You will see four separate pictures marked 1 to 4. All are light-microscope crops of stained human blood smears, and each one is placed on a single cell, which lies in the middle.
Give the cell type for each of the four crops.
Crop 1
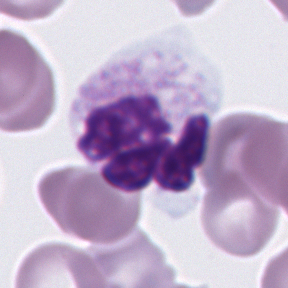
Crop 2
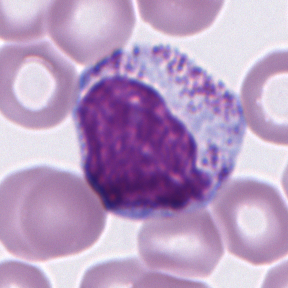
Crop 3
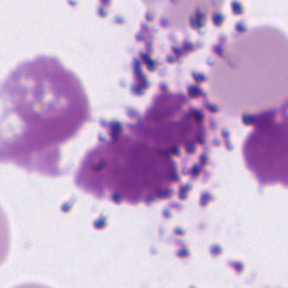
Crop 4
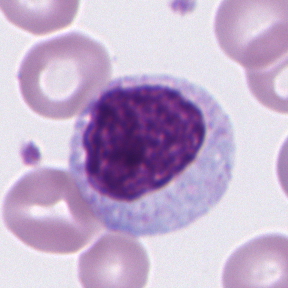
1: segmented neutrophil
2: myelocyte
3: basophil
4: metamyelocyte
